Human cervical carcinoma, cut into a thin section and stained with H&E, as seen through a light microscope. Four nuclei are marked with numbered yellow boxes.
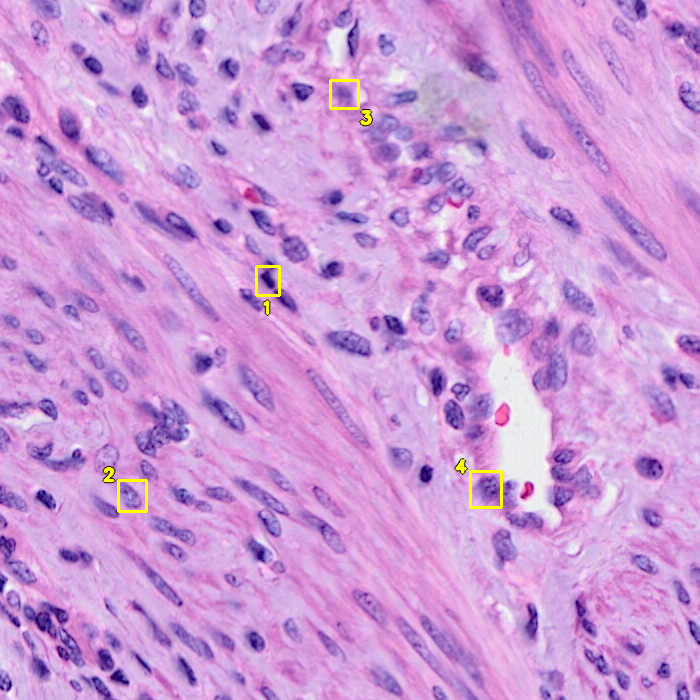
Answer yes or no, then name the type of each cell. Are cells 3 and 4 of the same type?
Yes, both are endothelial cells.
